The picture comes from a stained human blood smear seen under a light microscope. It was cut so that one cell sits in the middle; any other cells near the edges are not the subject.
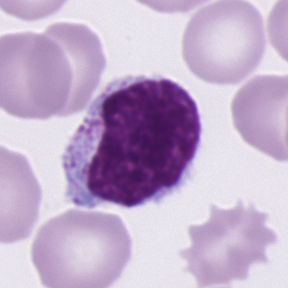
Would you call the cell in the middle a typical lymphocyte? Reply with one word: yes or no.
no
